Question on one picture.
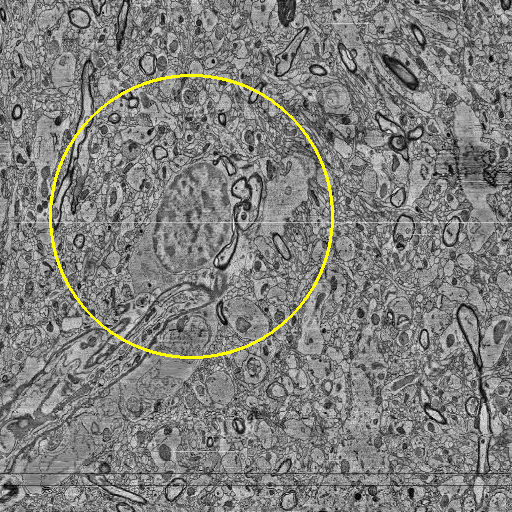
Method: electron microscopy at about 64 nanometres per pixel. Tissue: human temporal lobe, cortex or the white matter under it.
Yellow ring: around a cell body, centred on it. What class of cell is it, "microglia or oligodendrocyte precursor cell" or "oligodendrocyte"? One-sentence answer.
This is an oligodendrocyte, the cell the ring is centred on.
